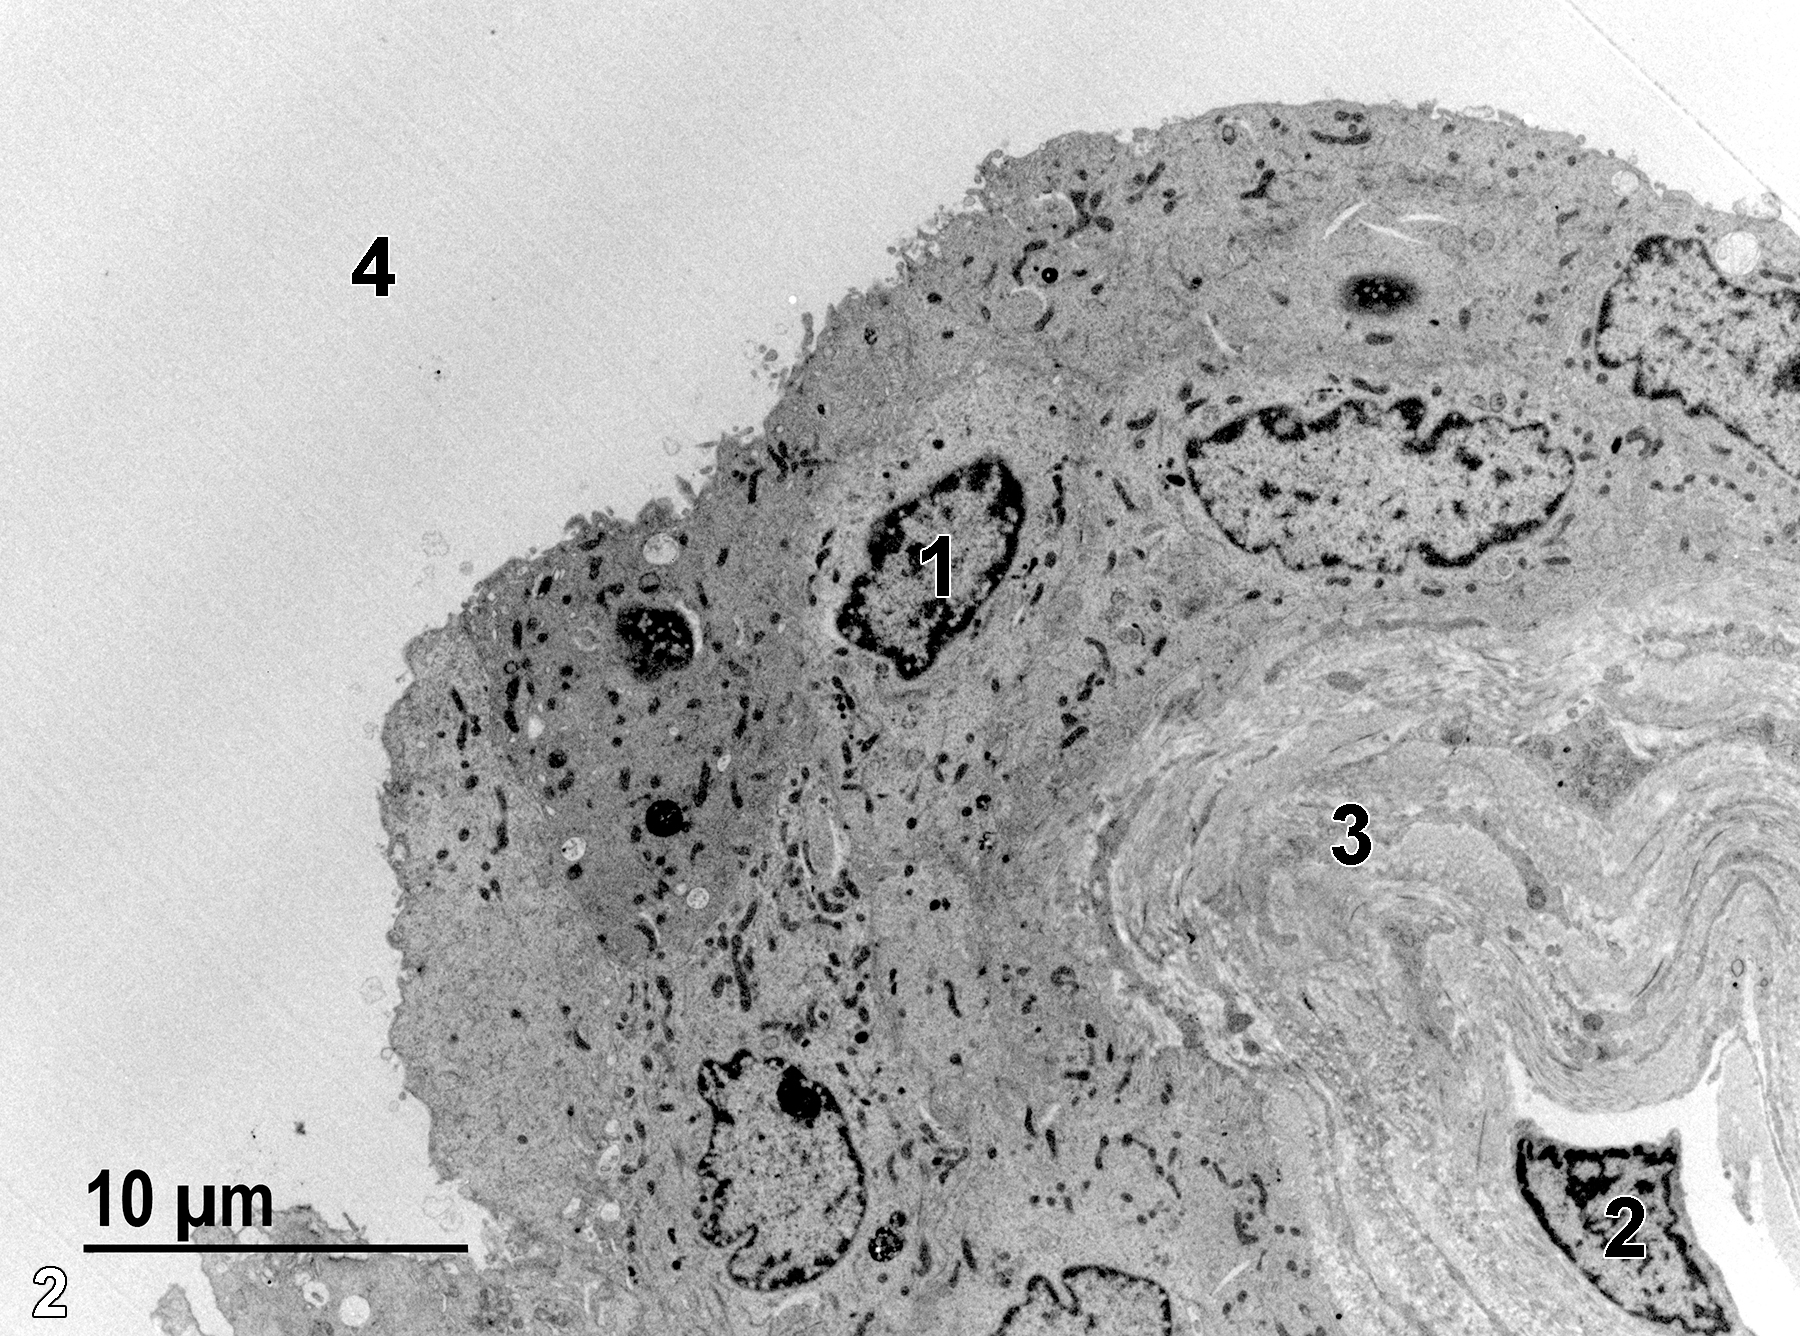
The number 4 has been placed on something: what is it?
The number 4 marks the bladder lumen.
